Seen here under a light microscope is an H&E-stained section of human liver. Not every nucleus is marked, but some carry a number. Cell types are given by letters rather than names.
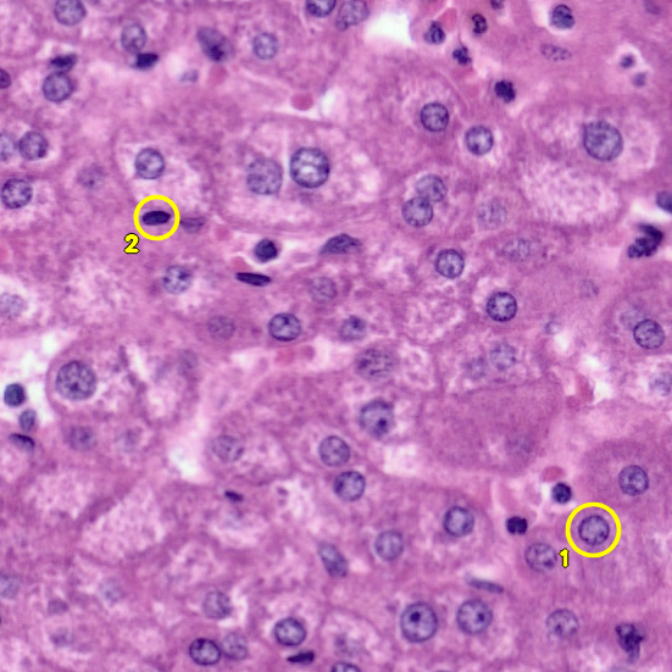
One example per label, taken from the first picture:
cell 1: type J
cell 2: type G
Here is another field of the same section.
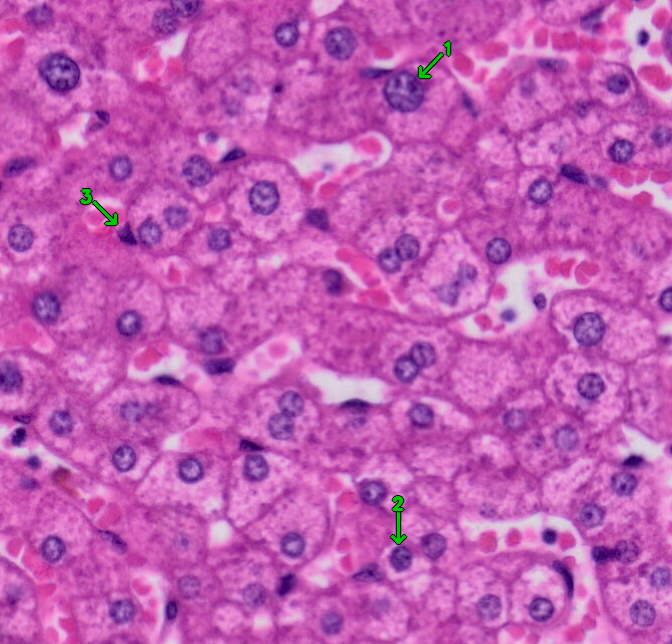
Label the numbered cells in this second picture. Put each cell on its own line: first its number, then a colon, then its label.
1: type J
2: type J
3: type G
